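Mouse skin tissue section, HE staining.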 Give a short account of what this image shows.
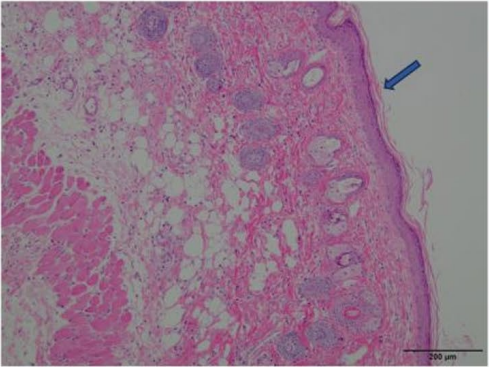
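Along the right edge a thin, purple-staining stratified epidermis forms the surface. Beneath lies pink dermal connective tissue containing several hair follicles cut in varying planes, seen as rounded purple clusters of epithelial cells, some with a central shaft. Deeper, the tissue is loose and vacuolated, with many clear rounded spaces typical of adipose tissue. At the far left, bands of pink skeletal muscle fibres run along the section. Scattered small dark nuclei are spread through the connective tissue.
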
